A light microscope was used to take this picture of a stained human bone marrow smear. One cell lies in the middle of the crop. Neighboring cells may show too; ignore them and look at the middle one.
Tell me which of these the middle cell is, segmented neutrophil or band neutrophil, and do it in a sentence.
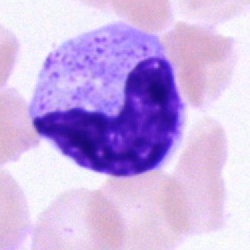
The cell in the exact centre of the crop is a band neutrophil.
